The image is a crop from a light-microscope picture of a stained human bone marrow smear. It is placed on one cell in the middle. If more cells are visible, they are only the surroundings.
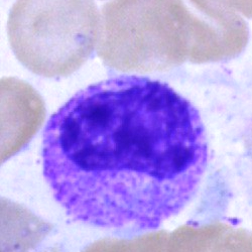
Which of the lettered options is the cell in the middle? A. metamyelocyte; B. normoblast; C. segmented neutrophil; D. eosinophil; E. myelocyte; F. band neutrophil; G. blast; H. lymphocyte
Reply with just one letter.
A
